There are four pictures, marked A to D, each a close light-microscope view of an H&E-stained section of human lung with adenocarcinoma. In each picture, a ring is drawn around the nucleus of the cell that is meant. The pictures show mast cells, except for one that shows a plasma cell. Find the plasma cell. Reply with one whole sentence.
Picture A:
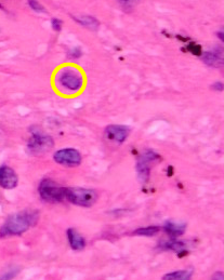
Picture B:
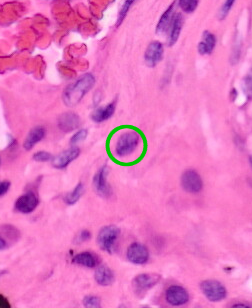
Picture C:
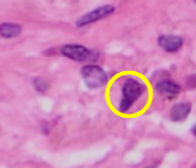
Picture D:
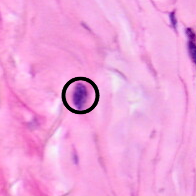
The plasma cell is the one in picture C.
